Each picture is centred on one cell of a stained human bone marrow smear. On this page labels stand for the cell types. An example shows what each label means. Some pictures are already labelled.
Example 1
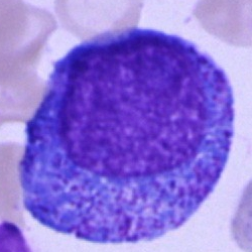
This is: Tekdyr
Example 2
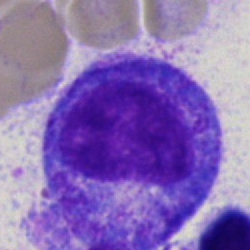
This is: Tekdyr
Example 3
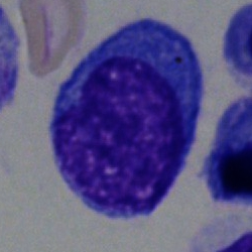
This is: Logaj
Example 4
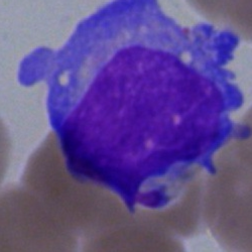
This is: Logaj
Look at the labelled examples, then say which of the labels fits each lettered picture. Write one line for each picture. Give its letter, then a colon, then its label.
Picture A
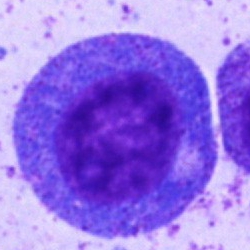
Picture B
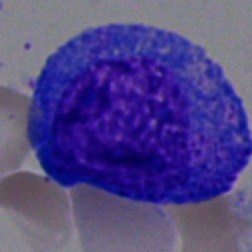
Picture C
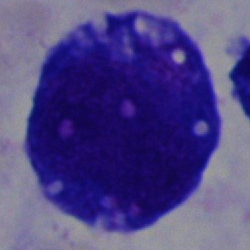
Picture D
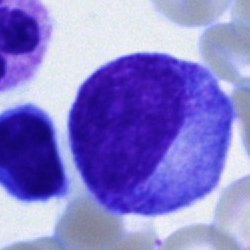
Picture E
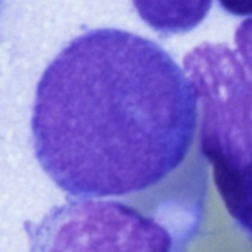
A: Tekdyr
B: Tekdyr
C: Logaj
D: Tekdyr
E: Logaj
